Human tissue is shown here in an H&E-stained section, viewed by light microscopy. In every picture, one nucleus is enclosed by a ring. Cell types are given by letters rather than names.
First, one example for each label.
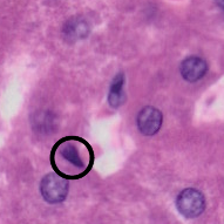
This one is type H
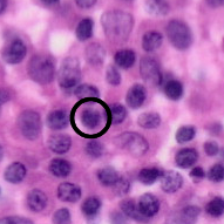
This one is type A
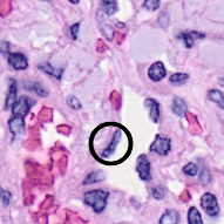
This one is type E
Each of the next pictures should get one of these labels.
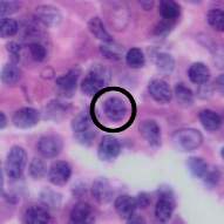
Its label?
type A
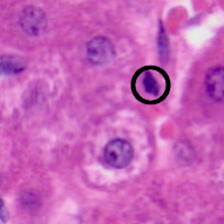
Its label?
type H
